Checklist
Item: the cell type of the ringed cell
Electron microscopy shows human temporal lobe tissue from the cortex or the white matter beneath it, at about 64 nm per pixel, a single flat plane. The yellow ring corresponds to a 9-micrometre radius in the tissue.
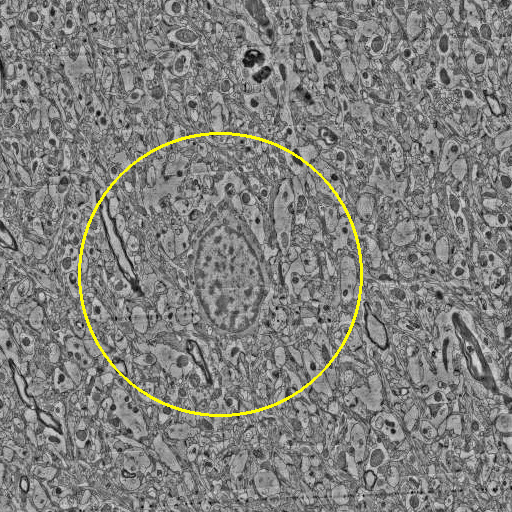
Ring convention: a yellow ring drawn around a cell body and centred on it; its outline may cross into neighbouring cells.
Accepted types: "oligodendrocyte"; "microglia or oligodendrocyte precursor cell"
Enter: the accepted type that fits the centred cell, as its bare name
oligodendrocyte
